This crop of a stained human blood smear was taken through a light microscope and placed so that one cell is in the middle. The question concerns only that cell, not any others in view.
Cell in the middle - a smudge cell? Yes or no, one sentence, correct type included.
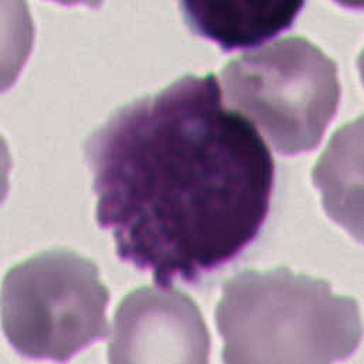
Yes, what sits in the middle of the crop is a smudge cell.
